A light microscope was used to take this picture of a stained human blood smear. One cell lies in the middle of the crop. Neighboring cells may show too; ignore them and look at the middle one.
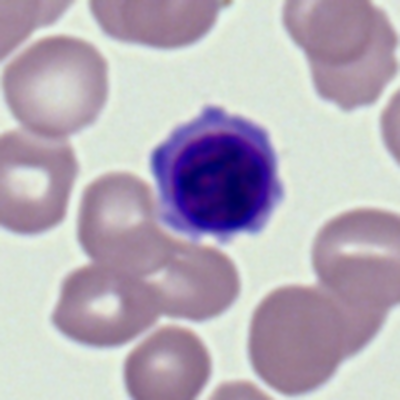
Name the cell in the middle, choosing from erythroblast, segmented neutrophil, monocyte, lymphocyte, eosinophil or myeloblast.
erythroblast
